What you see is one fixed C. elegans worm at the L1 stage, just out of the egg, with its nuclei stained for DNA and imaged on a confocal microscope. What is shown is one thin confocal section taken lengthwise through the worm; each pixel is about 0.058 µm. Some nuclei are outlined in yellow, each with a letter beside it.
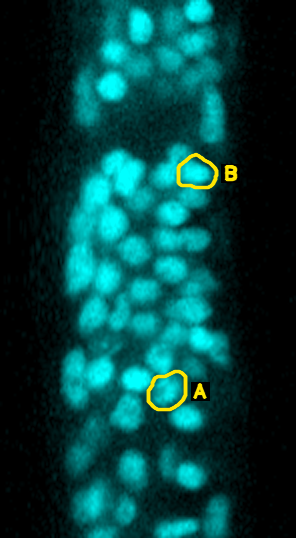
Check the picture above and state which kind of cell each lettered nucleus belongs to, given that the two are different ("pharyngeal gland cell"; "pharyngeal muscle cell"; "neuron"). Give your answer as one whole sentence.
A belongs to a pharyngeal gland cell and B to a neuron.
